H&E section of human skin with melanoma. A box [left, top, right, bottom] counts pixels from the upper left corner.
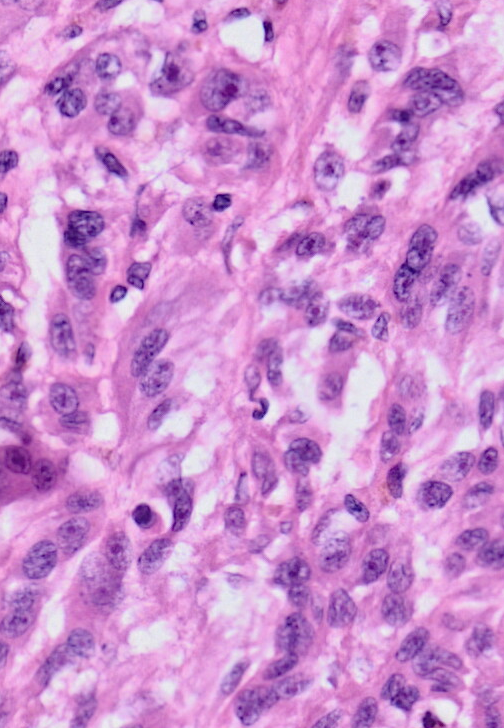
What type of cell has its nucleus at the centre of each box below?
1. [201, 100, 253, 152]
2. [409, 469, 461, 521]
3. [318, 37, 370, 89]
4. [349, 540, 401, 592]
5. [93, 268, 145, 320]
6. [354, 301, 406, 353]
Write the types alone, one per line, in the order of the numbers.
melanoma cell
melanoma cell
fibroblast or myofibroblast
melanoma cell
lymphocyte
macrophage or monocyte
